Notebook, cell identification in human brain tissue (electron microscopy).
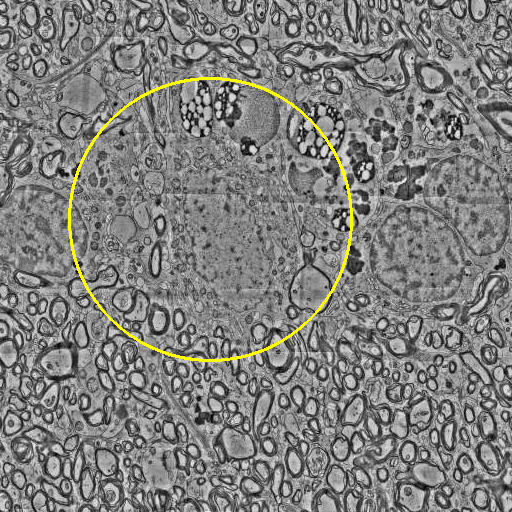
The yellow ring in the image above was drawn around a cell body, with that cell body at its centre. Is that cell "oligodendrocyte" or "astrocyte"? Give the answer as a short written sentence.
The cell in the ring is an astrocyte.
